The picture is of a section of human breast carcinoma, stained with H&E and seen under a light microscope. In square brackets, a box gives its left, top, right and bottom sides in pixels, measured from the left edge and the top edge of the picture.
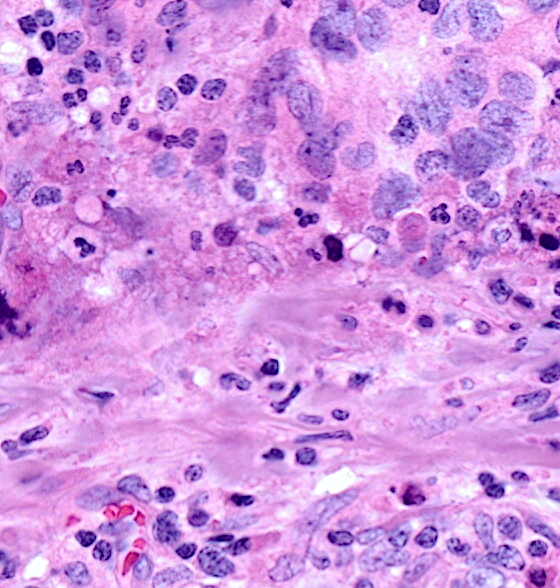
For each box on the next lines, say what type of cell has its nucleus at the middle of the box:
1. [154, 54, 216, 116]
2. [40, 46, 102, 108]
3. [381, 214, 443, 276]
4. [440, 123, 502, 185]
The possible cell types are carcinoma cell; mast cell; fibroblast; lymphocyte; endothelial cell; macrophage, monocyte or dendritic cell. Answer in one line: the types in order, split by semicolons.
lymphocyte; lymphocyte; endothelial cell; carcinoma cell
